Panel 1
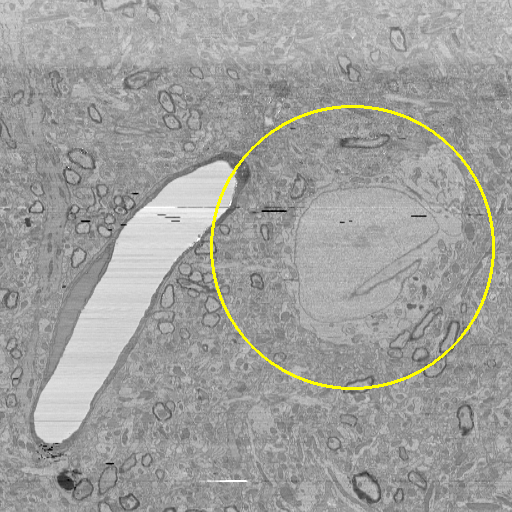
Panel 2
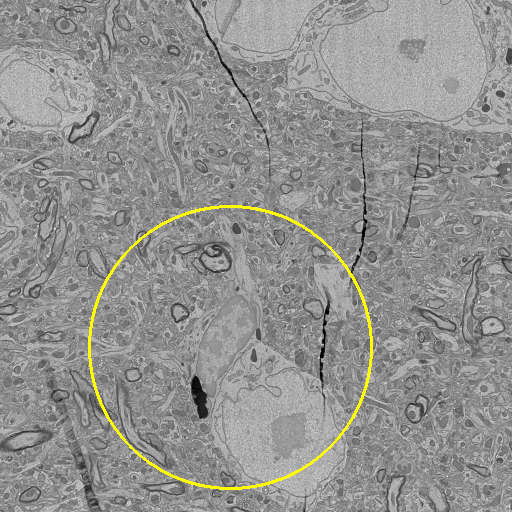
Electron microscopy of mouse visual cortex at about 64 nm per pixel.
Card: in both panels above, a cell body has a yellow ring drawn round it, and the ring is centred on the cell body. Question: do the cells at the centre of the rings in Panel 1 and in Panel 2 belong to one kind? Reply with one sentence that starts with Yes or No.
No, the cells centred in the rings of Panel 1 and Panel 2 are two kinds of cell.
